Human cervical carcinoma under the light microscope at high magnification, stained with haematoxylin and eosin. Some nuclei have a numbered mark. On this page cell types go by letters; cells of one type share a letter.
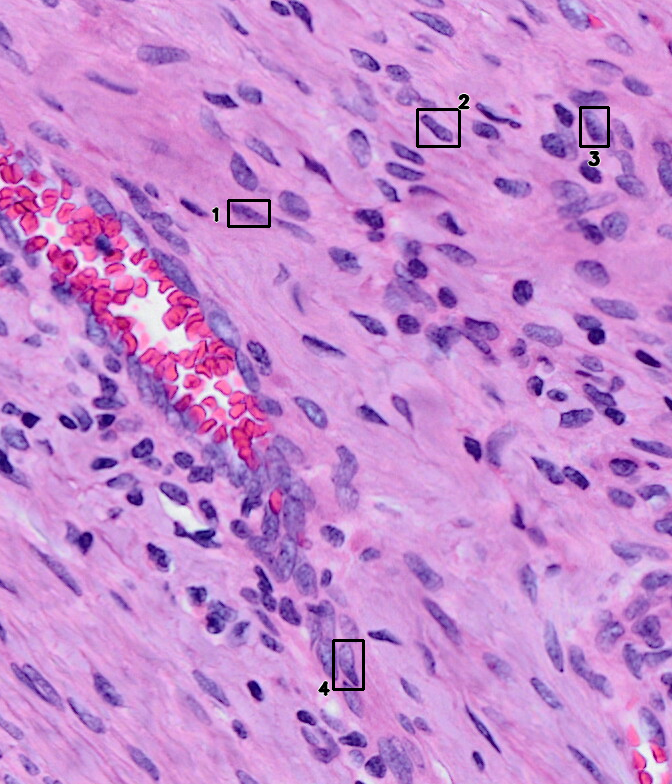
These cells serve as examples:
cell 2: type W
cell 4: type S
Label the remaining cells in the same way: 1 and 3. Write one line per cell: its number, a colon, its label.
1: type W
3: type W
